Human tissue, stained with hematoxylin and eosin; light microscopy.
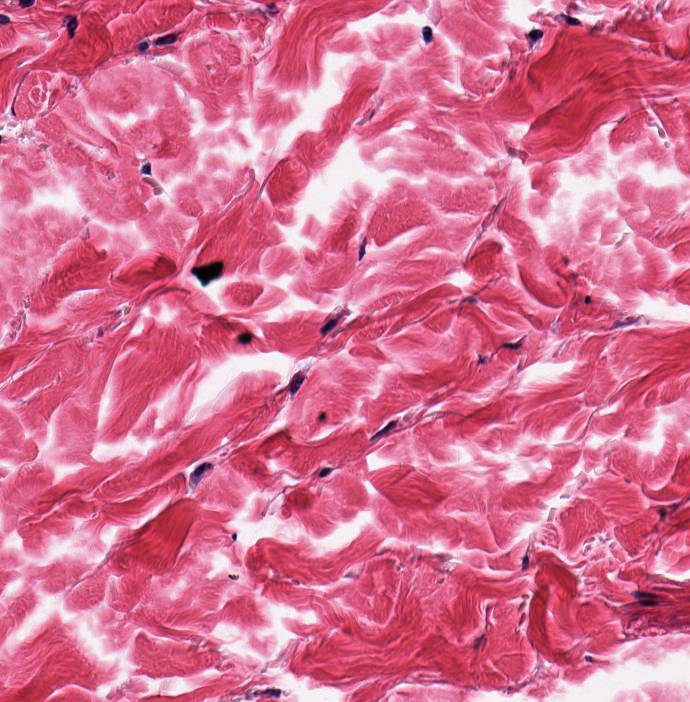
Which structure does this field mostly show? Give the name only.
dermis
